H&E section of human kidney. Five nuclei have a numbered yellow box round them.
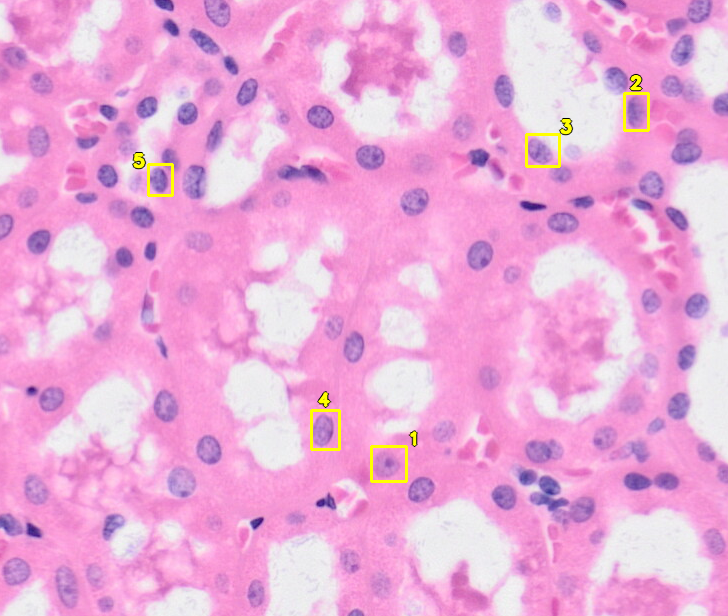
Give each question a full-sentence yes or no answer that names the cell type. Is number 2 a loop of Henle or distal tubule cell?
Yes, the cell pointed out as number 2 is a loop of Henle or distal tubule cell.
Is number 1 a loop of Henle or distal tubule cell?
No, cell 1 should be read as a proximal tubule cell instead of a loop of Henle or distal tubule cell.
